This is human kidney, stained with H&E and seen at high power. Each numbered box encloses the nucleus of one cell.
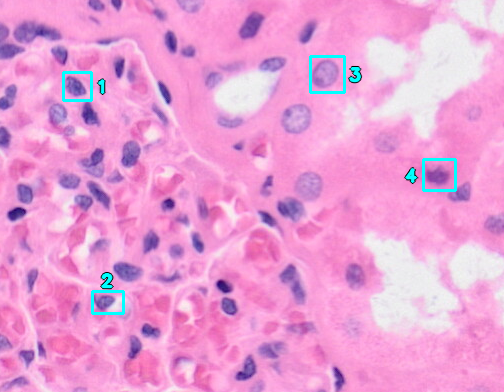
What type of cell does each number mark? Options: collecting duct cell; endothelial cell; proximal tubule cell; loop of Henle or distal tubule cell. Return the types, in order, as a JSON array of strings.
["endothelial cell", "endothelial cell", "proximal tubule cell", "proximal tubule cell"]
